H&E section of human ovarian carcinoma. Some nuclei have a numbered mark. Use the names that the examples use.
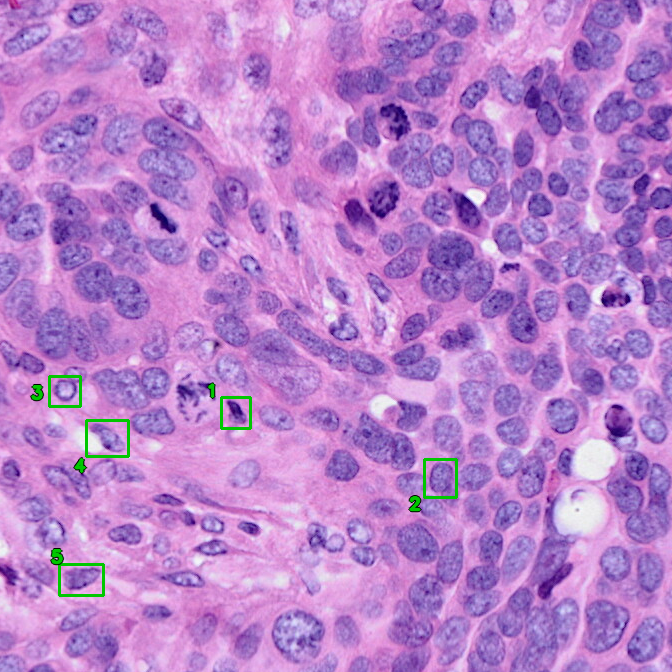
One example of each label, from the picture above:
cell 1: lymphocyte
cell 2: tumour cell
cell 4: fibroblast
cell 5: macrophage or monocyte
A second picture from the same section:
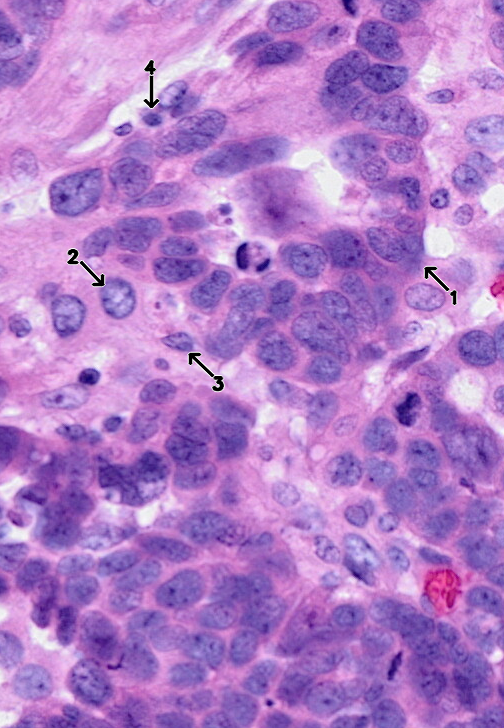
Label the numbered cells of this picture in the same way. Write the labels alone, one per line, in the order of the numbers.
tumour cell
fibroblast
macrophage or monocyte
lymphocyte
